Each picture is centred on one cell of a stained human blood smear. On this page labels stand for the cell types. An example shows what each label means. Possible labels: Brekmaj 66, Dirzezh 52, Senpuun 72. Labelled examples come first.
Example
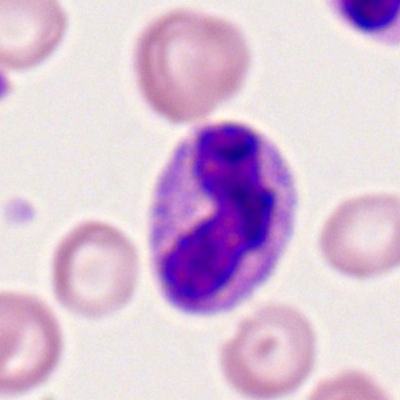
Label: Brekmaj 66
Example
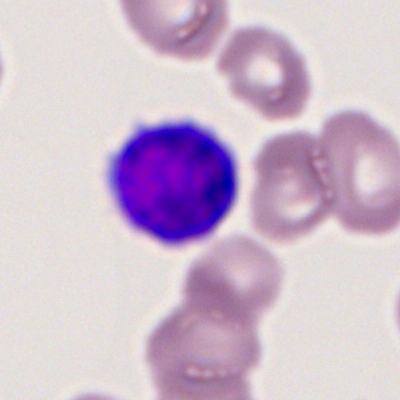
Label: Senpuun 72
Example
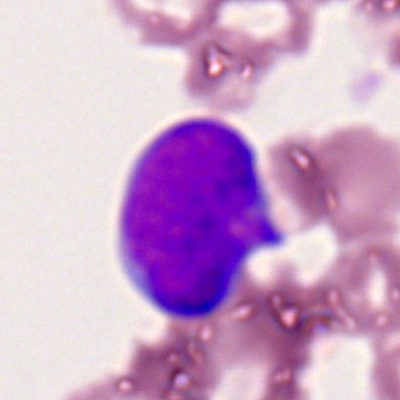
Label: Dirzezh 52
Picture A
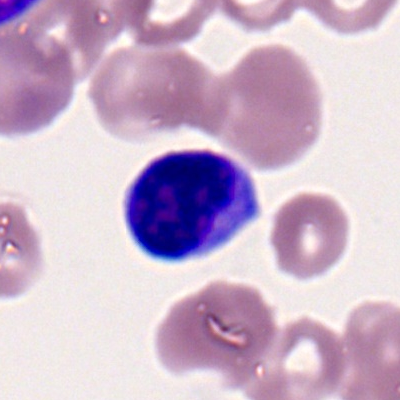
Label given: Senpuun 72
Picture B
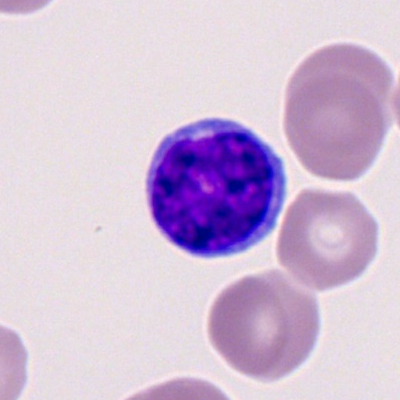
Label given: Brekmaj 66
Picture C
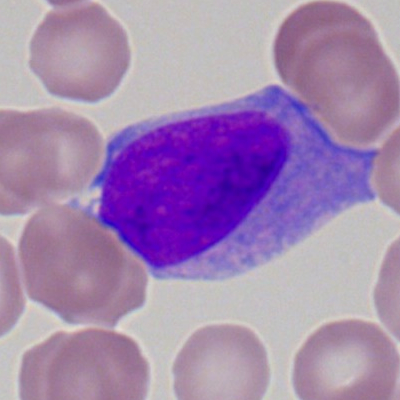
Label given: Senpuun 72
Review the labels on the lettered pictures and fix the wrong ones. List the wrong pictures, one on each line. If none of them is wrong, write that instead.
B: change Brekmaj 66 to Senpuun 72
C: change Senpuun 72 to Dirzezh 52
